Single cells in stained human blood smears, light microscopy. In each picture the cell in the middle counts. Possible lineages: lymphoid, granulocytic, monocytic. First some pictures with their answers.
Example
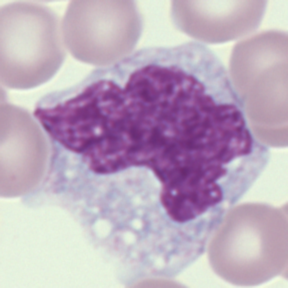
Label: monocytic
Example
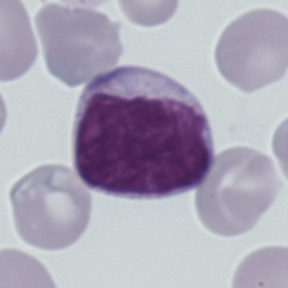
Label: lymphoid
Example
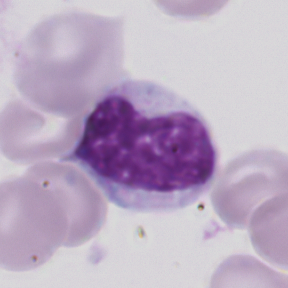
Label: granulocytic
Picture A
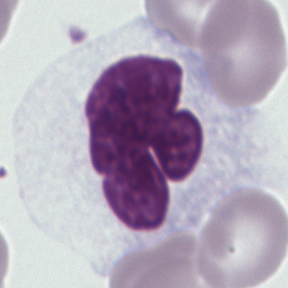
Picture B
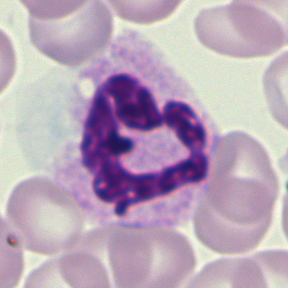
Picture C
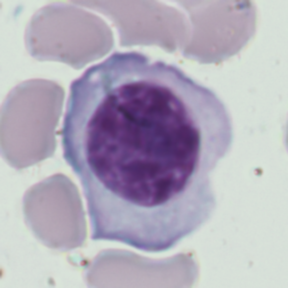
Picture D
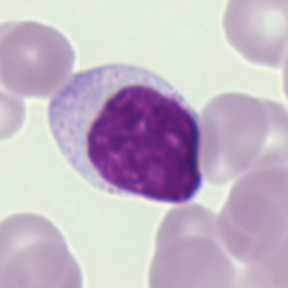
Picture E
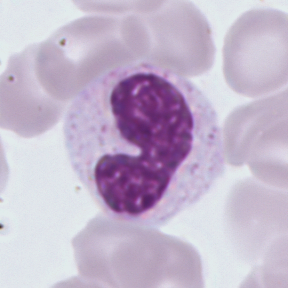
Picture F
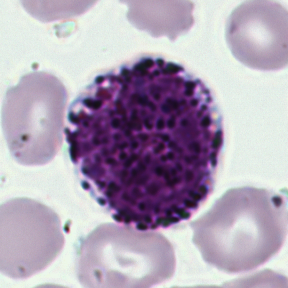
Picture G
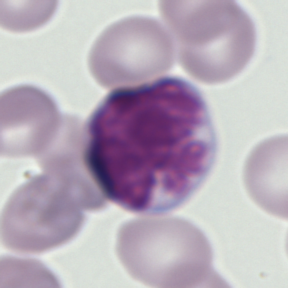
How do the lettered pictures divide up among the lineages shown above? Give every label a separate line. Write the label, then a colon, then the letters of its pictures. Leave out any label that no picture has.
lymphoid: C, D, G
granulocytic: B, E, F
monocytic: A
